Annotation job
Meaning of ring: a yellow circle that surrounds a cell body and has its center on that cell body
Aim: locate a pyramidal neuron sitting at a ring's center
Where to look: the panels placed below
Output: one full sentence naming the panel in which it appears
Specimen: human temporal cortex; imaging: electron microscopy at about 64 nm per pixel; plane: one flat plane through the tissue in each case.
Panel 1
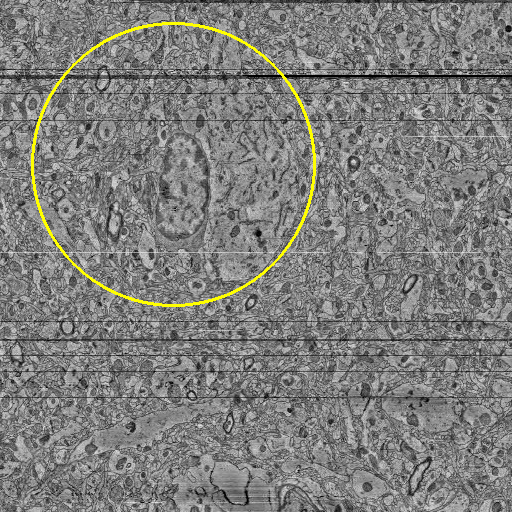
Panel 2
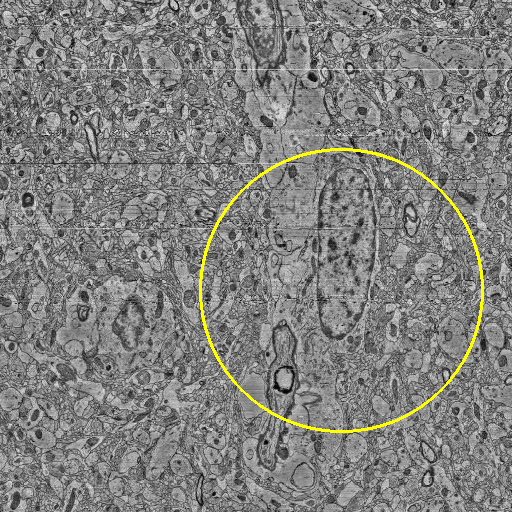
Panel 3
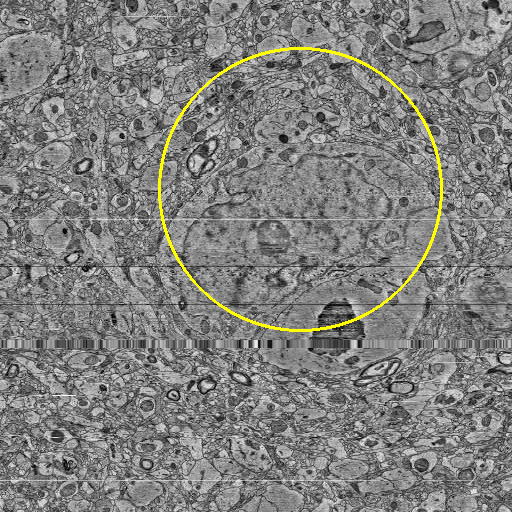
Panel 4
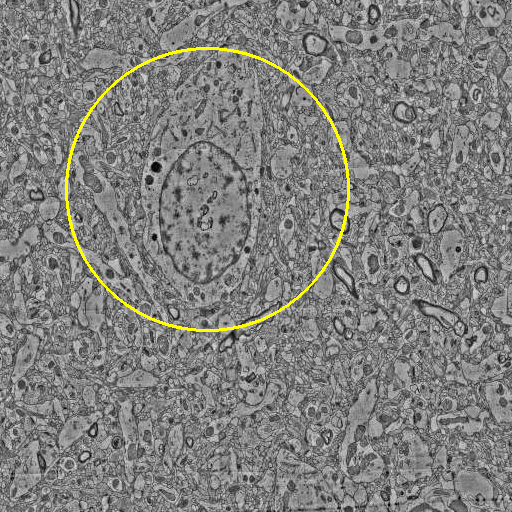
The cell at the center of the ring in panel 4 is the one sought.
